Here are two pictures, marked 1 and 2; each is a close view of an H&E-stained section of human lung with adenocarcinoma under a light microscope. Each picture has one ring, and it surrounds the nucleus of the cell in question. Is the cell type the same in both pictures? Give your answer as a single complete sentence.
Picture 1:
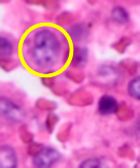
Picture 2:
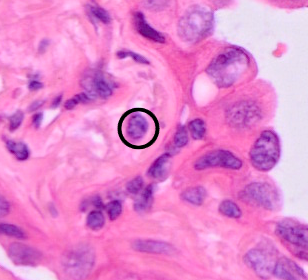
No. Picture 1 shows a “macrophage or monocyte”, but picture 2 shows a plasma cell.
